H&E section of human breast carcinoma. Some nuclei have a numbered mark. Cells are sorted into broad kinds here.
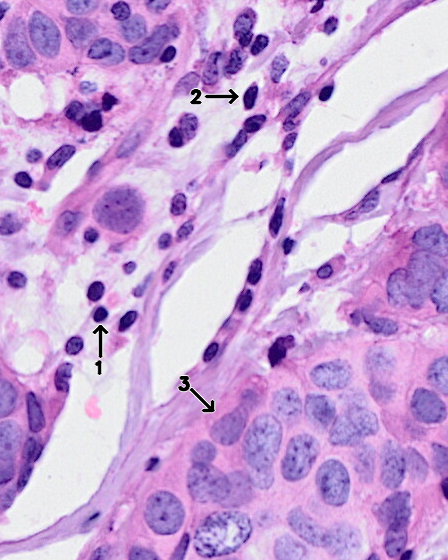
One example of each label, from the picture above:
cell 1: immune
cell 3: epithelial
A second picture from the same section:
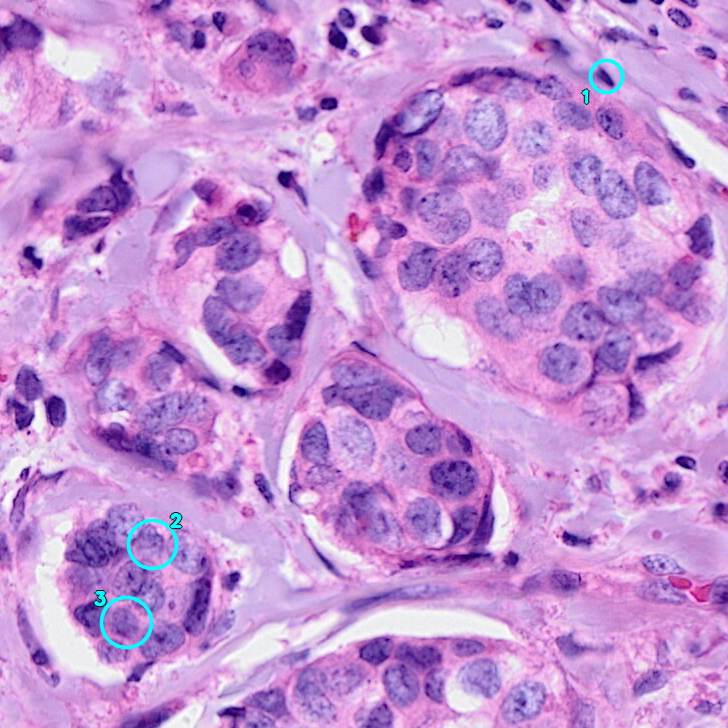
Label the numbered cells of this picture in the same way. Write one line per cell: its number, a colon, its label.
1: immune
2: epithelial
3: epithelial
